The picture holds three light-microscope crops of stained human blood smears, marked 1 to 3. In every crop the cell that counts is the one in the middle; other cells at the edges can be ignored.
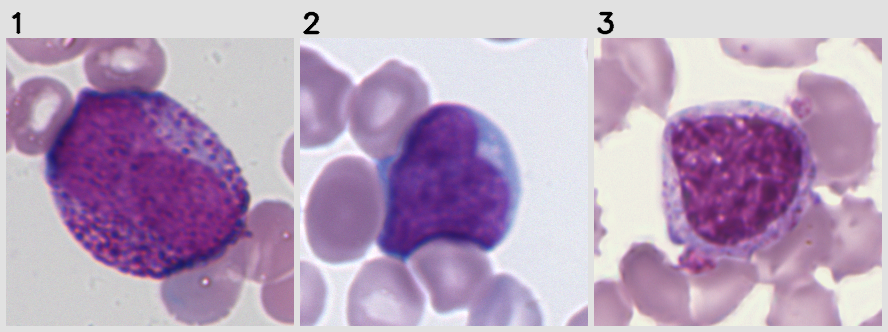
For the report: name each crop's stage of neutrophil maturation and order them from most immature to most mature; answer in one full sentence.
In order of increasing maturity, the crops run crop 2 (a myeloblast), crop 1 (a promyelocyte) and crop 3 (a myelocyte).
